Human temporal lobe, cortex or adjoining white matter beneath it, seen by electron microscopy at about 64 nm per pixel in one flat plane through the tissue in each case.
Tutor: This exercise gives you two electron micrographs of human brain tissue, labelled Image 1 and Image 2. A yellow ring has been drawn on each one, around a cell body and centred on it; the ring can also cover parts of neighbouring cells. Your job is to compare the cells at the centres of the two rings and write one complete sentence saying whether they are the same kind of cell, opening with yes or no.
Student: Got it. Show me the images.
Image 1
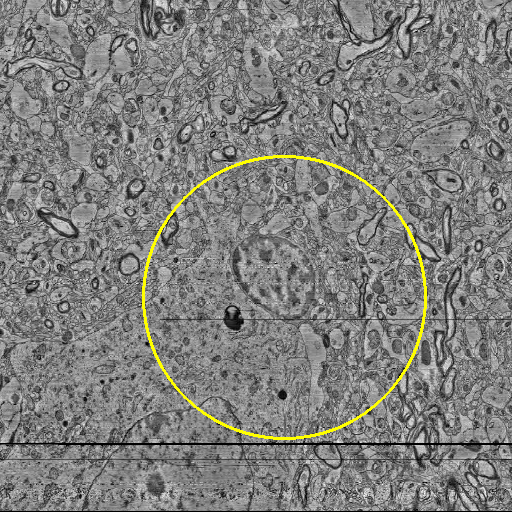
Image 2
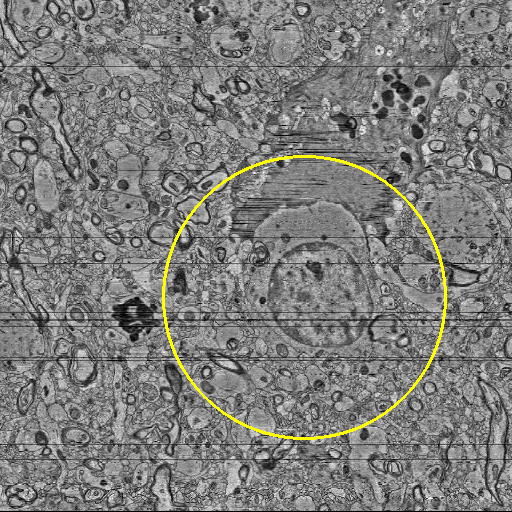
Yes, the two cells belong to the same kind.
